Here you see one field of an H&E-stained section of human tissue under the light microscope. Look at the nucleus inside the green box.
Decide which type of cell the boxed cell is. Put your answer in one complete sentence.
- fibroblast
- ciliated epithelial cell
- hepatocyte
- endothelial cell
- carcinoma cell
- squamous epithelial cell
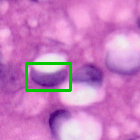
On this particular slide, the boxed cell is a squamous epithelial cell.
